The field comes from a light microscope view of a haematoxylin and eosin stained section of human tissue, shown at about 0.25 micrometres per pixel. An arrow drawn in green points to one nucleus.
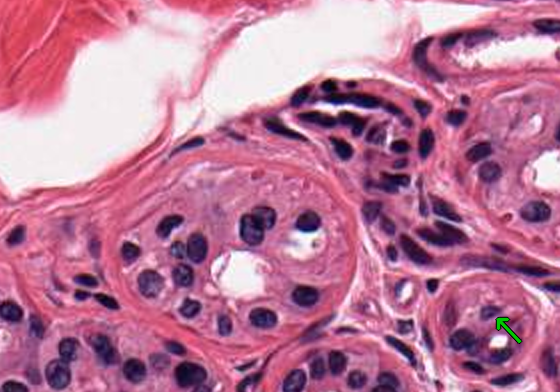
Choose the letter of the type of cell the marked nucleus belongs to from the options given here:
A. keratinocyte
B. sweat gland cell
B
